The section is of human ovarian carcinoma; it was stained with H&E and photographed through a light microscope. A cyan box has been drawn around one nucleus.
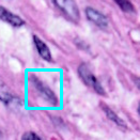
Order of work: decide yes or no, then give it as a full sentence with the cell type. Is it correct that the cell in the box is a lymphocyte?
No, the cell in the box is a fibroblast rather than a lymphocyte in this section.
